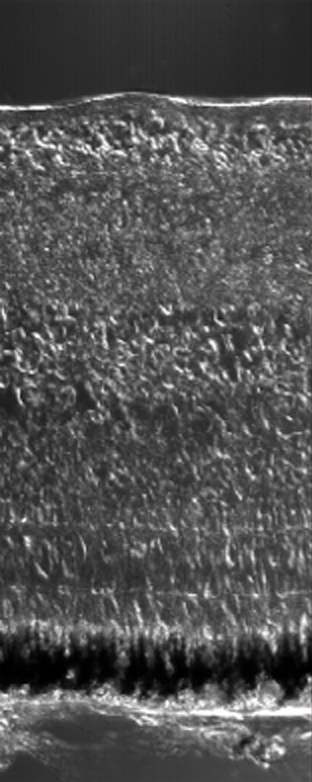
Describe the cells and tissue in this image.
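This is a transverse section through the retina seen in relief contrast, with the inner surface forming a smooth bright line at the top. Just beneath it lies a zone of irregular rounded profiles, then a finer, more granular band. Lower down, the retina is crowded with small rounded cell bodies packed in stacked layers and crossed by thin horizontal lines. Near the bottom a dark, comb-like pigmented band runs across the section, and below it lies a thin strip of looser tissue.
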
